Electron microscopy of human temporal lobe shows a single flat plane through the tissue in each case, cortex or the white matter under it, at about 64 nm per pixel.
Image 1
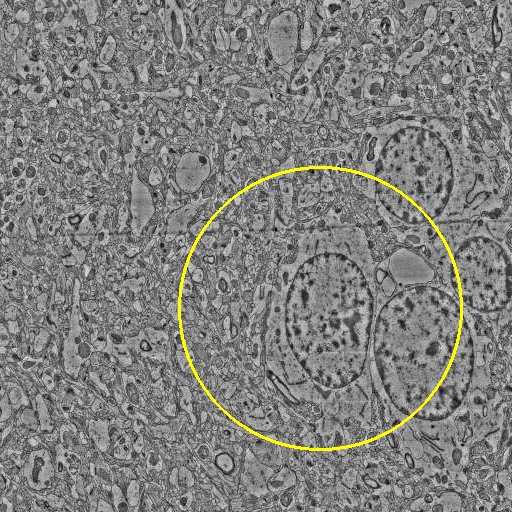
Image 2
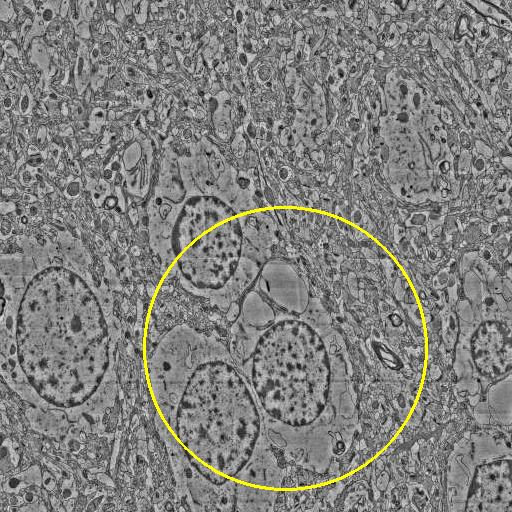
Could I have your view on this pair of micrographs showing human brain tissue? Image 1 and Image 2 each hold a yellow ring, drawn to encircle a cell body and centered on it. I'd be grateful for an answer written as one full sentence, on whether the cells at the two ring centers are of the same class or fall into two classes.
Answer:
The cells at the centers of the two rings are of the same class.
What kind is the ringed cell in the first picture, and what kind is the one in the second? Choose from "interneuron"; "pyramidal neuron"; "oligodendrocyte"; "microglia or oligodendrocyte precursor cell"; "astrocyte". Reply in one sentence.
In each of the two pictures, the ringed cell is an astrocyte.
